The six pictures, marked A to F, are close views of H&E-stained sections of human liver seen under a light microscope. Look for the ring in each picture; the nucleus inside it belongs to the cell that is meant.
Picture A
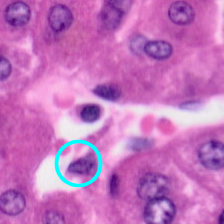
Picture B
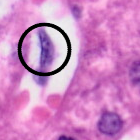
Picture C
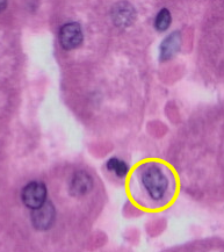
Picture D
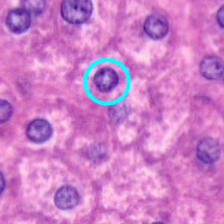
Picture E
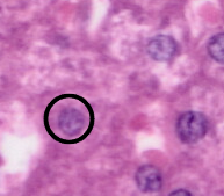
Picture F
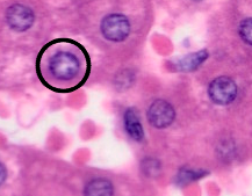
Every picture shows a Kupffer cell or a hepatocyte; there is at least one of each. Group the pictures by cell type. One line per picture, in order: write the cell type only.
Kupffer cell
Kupffer cell
Kupffer cell
hepatocyte
hepatocyte
hepatocyte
